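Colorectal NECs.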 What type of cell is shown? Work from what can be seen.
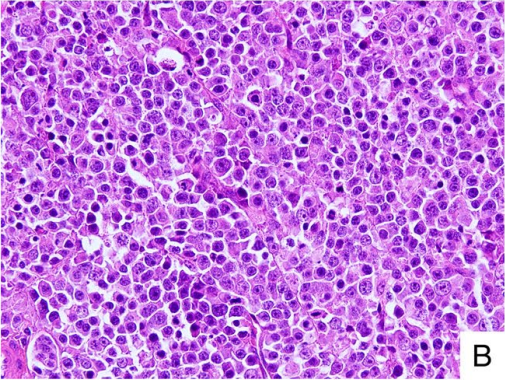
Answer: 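Cells have angular outlines with clear borders. Cells are larger with round nuclei. On this evidence: large polygonal cells.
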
